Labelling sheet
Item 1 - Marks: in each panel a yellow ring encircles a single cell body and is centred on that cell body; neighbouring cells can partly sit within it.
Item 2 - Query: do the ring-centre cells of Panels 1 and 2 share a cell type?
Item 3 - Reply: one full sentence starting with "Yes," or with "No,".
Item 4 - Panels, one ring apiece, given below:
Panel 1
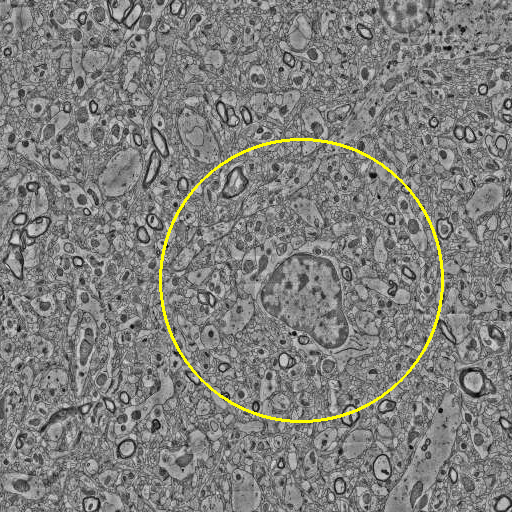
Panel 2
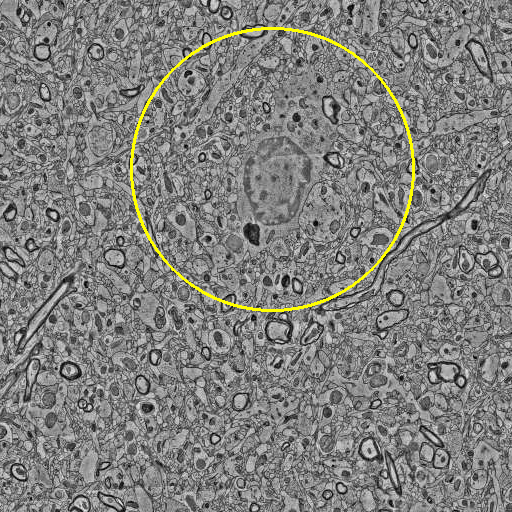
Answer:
No, Panel 1 and Panel 2 show two cell types at the centres of their rings.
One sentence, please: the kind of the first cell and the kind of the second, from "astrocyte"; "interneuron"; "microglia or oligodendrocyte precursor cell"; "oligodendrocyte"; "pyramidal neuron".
The ring in the first picture surrounds a microglial cell or oligodendrocyte precursor cell, and the ring in the second surrounds an oligodendrocyte.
